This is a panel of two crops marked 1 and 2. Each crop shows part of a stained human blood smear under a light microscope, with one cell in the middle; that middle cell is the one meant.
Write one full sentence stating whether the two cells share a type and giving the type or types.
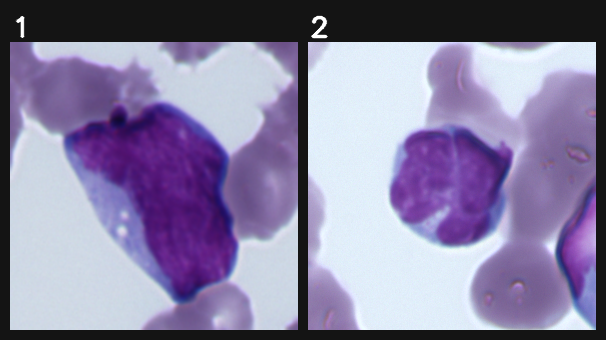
No, crop 1 is where a myeloblast is, and crop 2 is where a typical lymphocyte is.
